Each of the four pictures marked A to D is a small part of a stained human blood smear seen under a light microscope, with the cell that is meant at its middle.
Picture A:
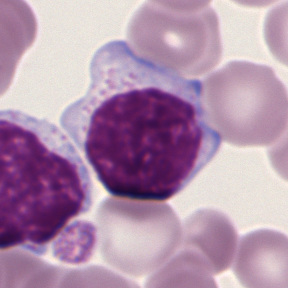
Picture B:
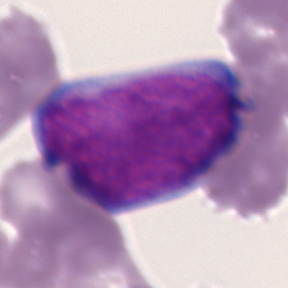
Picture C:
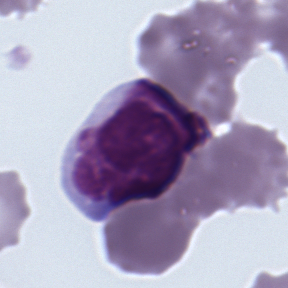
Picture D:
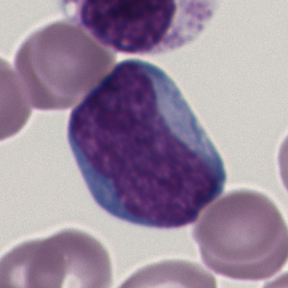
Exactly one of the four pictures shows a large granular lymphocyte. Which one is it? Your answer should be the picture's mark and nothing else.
A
